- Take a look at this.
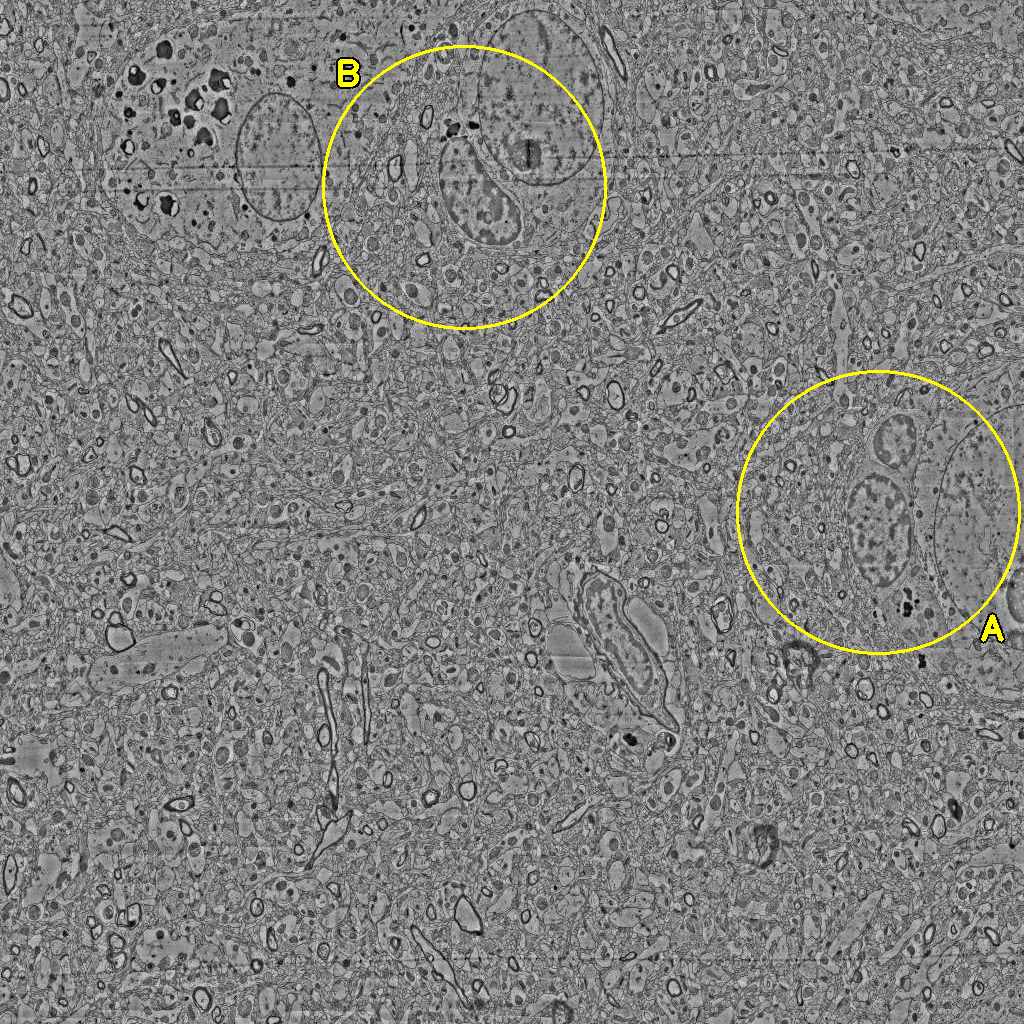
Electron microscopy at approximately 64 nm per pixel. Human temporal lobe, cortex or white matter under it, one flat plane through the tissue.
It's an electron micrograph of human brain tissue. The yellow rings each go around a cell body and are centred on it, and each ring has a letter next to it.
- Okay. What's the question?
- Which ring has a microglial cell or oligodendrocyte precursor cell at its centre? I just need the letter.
B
